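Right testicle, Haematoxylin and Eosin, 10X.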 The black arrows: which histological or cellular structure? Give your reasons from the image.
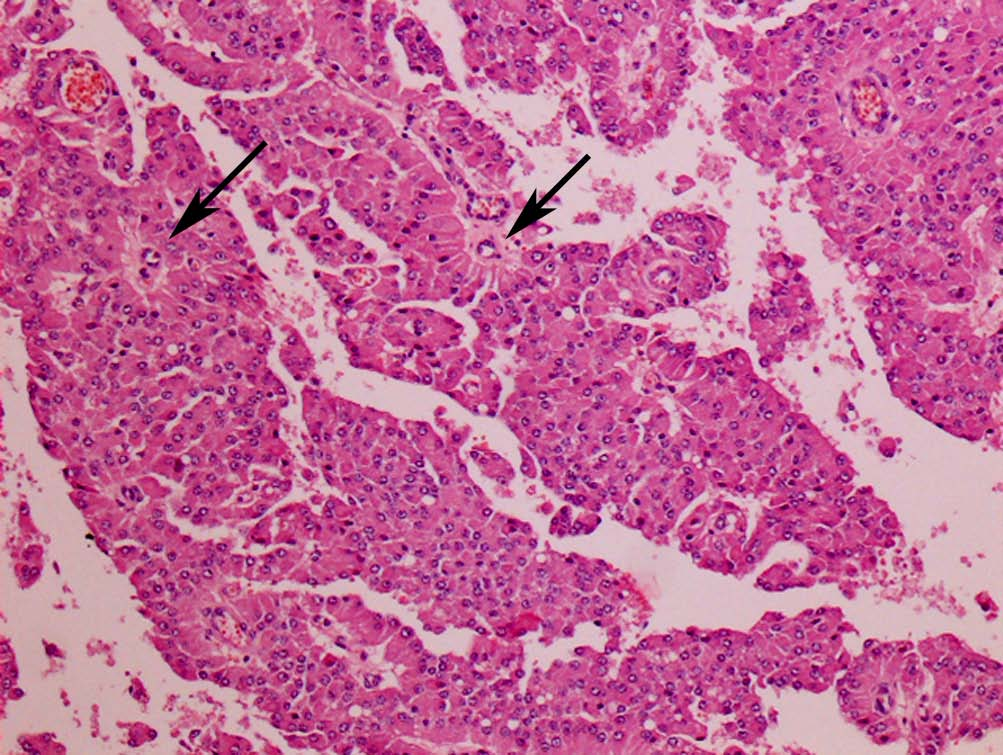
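At each arrow tip, tumour cells are lined up radially around a small central space. A small vessel with red blood cells lies in the centre of a similar radial arrangement elsewhere in the field. On this evidence: pseudorosettes.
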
